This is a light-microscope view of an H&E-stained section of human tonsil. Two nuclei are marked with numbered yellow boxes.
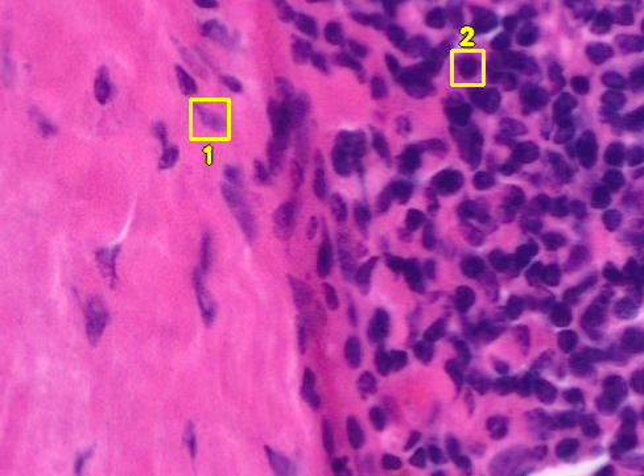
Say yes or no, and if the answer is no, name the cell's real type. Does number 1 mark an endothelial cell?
Yes.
